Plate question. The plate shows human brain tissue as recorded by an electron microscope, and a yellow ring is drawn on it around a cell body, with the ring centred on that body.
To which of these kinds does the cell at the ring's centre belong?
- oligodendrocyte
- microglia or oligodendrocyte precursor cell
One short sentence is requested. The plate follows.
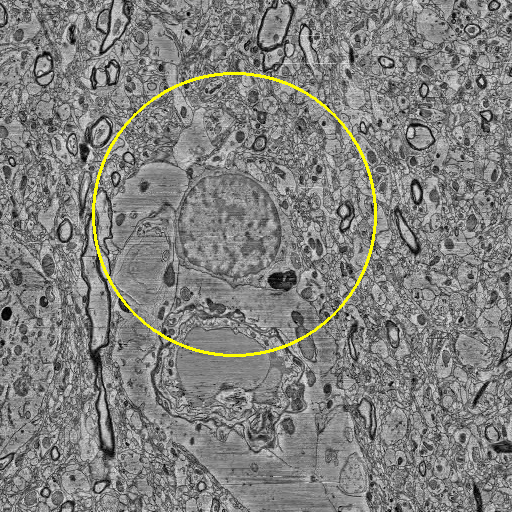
The cell at the ring's centre is an oligodendrocyte.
